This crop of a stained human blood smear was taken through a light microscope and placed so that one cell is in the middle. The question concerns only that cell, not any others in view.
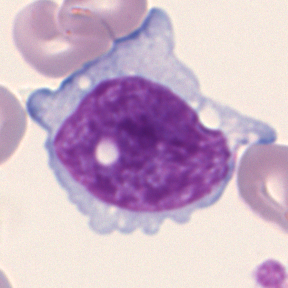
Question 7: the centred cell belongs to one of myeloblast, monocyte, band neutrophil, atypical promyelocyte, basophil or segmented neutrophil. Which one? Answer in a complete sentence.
At the center of the crop sits a myeloblast.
